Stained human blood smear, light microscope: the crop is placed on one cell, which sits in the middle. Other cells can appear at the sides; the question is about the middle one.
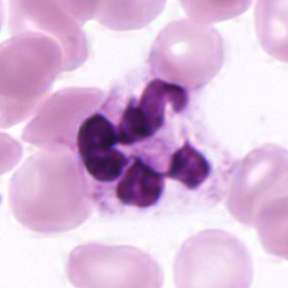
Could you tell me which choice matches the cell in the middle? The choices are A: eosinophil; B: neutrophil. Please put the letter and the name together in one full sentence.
The cell positioned centrally is a neutrophil, as given in option B, which is correct.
